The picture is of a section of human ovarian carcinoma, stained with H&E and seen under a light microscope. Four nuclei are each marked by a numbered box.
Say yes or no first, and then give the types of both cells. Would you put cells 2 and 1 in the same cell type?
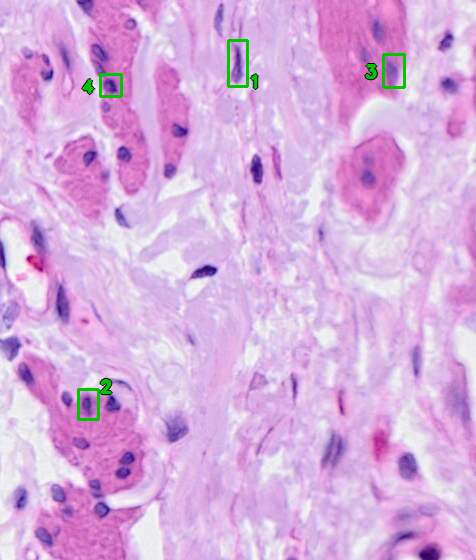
No, cell 2 is a smooth muscle cell, whereas cell 1, for its part, is a fibroblast.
